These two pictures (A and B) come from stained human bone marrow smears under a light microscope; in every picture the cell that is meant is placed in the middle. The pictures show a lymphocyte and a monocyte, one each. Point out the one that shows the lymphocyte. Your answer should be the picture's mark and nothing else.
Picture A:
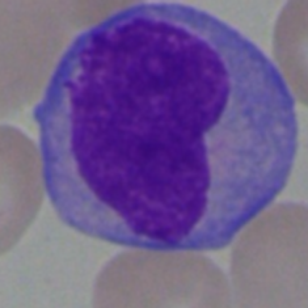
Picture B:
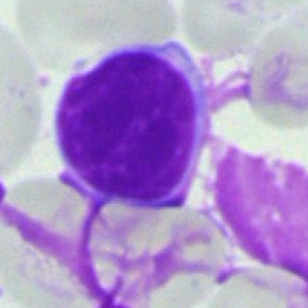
B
